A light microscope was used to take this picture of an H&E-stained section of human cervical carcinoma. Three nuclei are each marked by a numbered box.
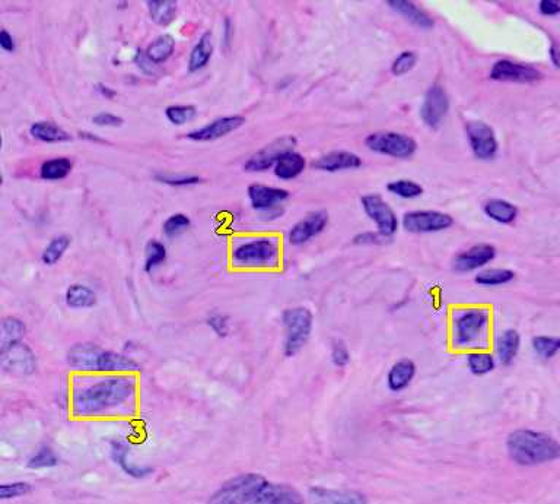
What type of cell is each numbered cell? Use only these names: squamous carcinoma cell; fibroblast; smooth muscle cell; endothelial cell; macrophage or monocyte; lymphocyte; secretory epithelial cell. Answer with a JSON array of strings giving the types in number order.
["fibroblast", "fibroblast", "smooth muscle cell"]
